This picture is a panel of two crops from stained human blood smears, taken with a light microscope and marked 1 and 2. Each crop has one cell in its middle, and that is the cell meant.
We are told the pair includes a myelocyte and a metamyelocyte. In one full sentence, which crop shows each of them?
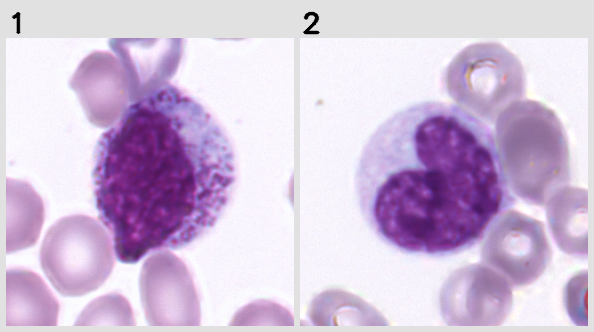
Crop 1 is to be read as a myelocyte and crop 2 as a metamyelocyte.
